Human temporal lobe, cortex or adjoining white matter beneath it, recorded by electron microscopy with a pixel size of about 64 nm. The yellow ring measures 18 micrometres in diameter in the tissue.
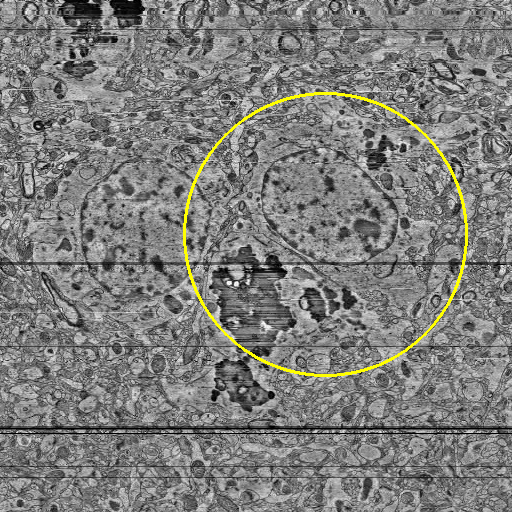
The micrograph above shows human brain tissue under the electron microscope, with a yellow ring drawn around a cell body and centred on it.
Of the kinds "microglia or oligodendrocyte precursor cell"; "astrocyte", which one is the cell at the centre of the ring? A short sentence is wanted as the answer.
The one at the centre of the ring is an astrocyte.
